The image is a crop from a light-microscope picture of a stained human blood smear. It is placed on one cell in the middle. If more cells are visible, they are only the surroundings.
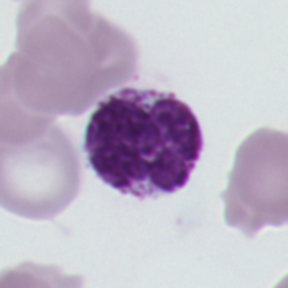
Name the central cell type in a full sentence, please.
The cell that lies at the centre of the crop is a basophil.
